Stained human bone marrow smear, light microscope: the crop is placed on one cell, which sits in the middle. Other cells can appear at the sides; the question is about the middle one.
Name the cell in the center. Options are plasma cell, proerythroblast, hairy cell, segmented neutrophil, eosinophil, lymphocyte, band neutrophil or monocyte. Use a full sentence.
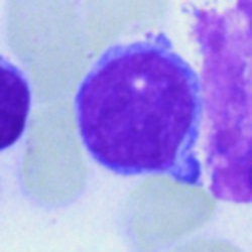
The cell featured at the centre of this crop is a lymphocyte.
